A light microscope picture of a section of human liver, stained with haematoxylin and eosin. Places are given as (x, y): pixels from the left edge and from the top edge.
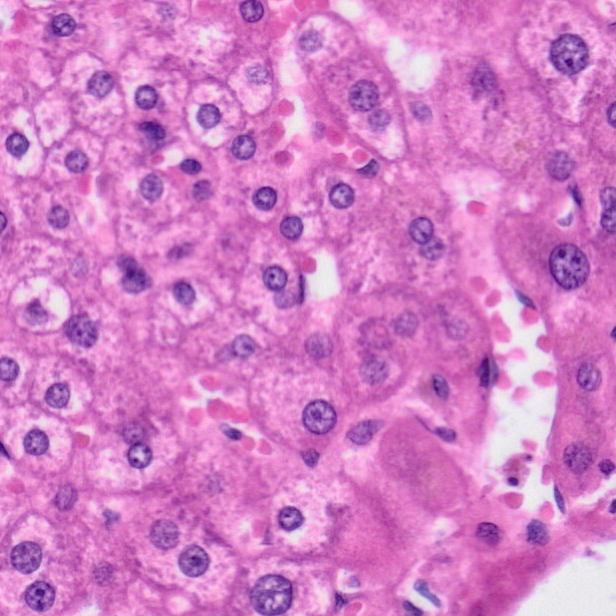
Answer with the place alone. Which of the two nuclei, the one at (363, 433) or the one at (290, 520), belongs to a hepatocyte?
(290, 520)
